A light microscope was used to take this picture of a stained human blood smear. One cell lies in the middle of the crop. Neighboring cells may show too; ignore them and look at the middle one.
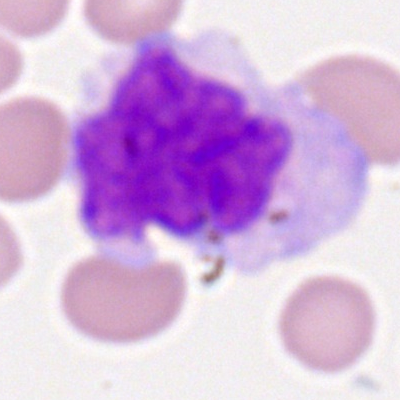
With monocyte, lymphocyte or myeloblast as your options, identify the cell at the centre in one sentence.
Regarding the central cell, it is a monocyte.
